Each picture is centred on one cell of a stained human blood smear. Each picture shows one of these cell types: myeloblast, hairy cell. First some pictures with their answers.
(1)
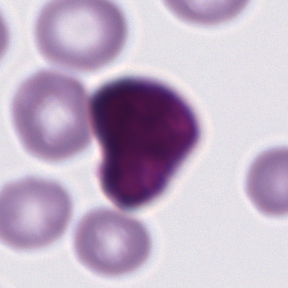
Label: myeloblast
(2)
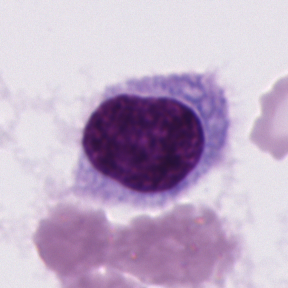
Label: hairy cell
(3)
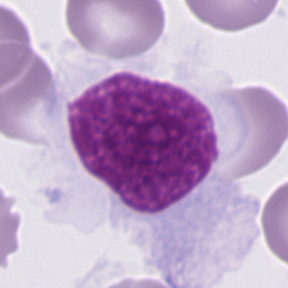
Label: hairy cell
